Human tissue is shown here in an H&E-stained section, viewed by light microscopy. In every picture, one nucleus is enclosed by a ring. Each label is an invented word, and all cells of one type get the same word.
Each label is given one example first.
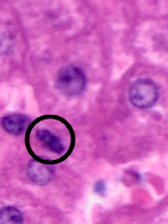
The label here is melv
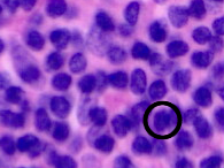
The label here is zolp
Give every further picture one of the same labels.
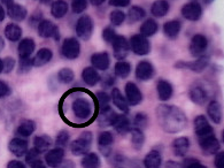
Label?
zolp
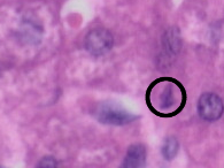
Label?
melv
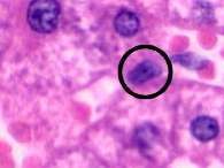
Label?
melv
